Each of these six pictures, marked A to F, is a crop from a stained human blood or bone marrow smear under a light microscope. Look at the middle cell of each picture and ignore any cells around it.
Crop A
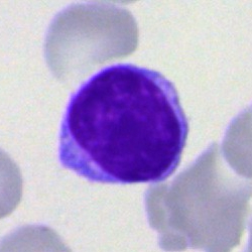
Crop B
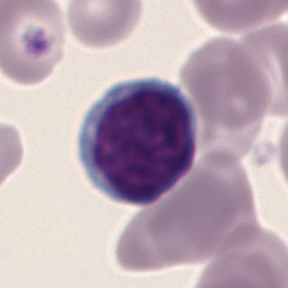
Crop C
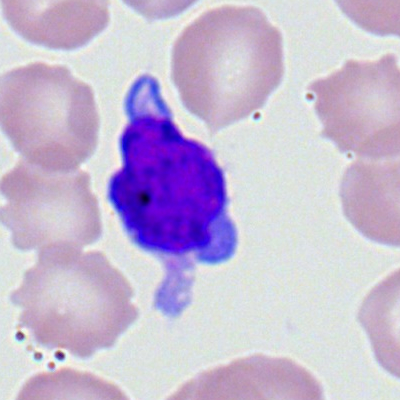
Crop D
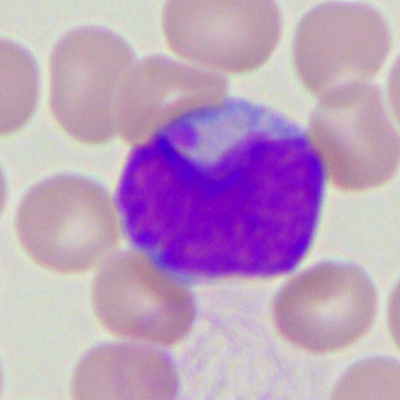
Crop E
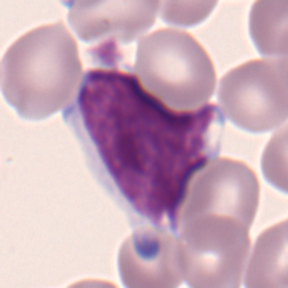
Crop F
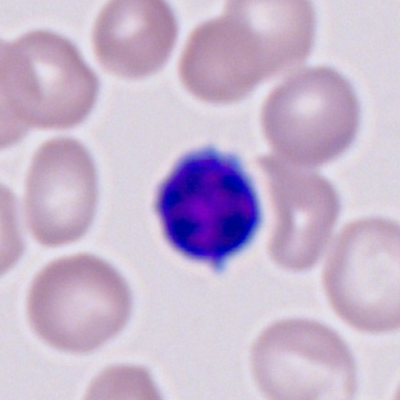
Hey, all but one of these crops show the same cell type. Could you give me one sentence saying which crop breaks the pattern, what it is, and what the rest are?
All crops show lymphocytes except crop D, which is a blast.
